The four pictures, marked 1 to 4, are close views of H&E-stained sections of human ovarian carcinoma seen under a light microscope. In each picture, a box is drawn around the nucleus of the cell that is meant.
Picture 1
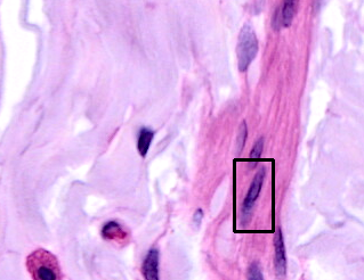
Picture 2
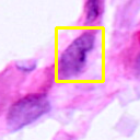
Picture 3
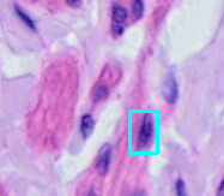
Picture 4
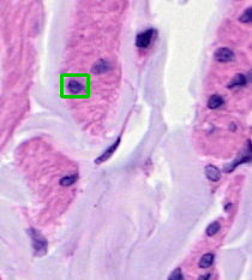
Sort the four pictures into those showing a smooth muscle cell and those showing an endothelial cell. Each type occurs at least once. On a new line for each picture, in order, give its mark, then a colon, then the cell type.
1: smooth muscle cell
2: endothelial cell
3: smooth muscle cell
4: smooth muscle cell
